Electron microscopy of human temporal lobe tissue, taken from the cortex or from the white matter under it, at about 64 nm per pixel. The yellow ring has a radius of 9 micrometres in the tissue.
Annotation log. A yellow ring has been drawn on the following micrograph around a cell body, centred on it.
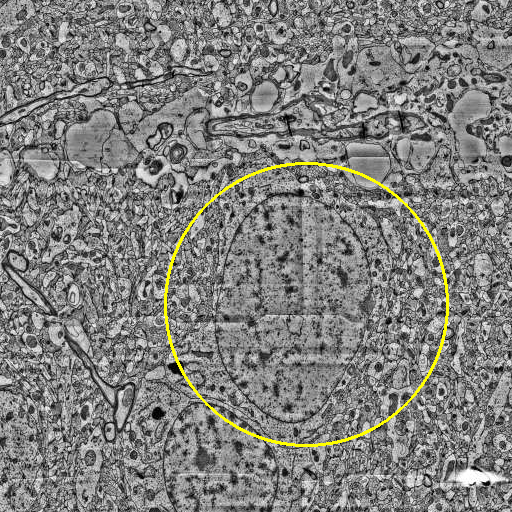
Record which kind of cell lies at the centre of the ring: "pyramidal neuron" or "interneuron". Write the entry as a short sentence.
The cell the ring is centred on is a pyramidal neuron.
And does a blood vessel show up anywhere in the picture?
Yes, a vessel appears in the picture.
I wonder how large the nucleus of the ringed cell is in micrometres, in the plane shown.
In this plane, roughly 15 by 10 micrometres.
